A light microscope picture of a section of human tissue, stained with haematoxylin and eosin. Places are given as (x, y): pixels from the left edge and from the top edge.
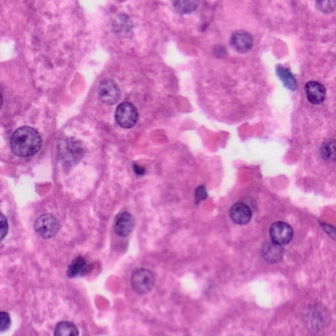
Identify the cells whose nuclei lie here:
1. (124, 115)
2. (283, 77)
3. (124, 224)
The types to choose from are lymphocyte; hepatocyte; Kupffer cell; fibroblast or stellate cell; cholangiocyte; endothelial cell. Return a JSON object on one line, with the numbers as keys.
{"1": "hepatocyte", "2": "lymphocyte", "3": "Kupffer cell"}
